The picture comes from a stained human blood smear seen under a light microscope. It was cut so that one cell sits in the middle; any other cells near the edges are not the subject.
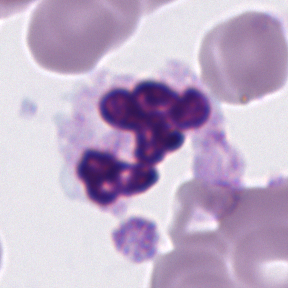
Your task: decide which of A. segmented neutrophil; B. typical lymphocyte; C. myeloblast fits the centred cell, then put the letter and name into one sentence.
The cell in the middle is a segmented neutrophil, so option A is correct.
